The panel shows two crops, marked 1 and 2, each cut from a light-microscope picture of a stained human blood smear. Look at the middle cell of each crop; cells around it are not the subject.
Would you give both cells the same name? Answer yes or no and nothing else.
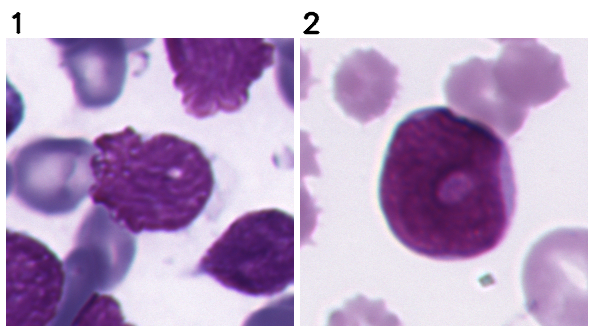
no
